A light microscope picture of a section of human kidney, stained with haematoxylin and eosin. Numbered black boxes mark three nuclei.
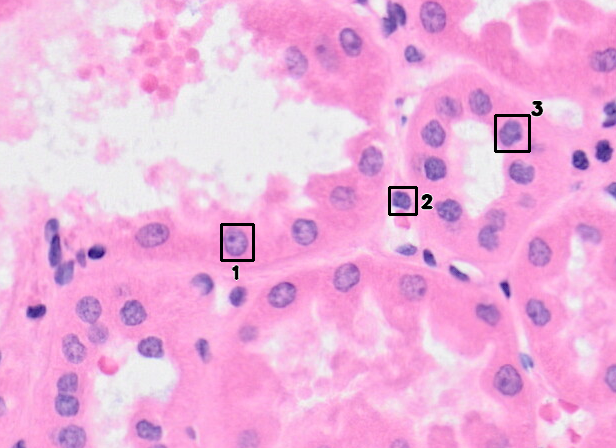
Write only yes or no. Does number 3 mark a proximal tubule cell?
no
